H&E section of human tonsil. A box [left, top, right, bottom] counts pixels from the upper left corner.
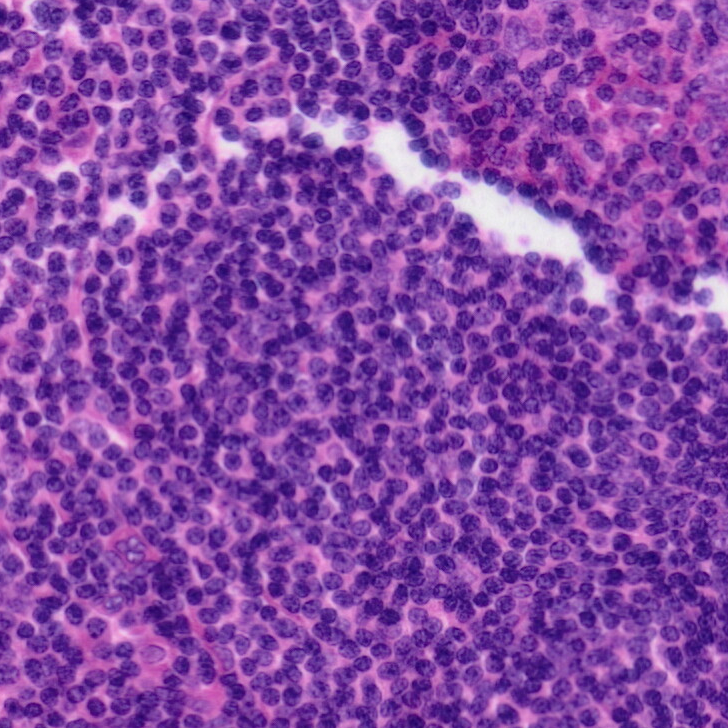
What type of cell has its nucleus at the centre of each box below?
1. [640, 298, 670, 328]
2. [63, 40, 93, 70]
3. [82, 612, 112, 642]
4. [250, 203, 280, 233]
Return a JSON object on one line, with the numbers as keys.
{"1": "small lymphocyte", "2": "small lymphocyte", "3": "plasma cell", "4": "small lymphocyte"}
